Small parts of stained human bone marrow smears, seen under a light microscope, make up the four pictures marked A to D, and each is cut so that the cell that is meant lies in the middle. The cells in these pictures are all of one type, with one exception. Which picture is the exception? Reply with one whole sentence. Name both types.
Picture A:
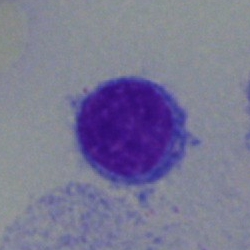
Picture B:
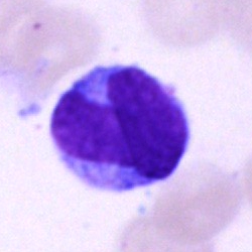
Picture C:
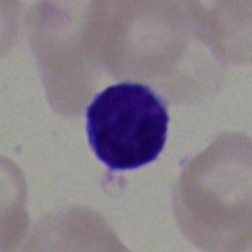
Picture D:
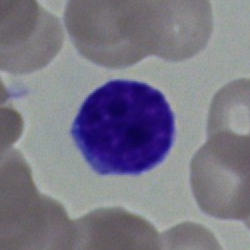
Picture B is the odd one out: it shows a monocyte, while the others show lymphocytes.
